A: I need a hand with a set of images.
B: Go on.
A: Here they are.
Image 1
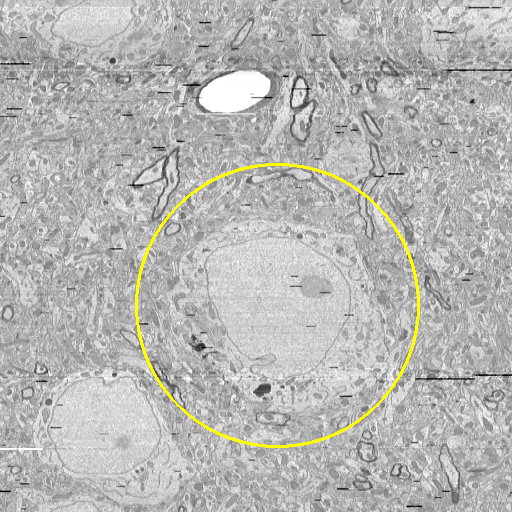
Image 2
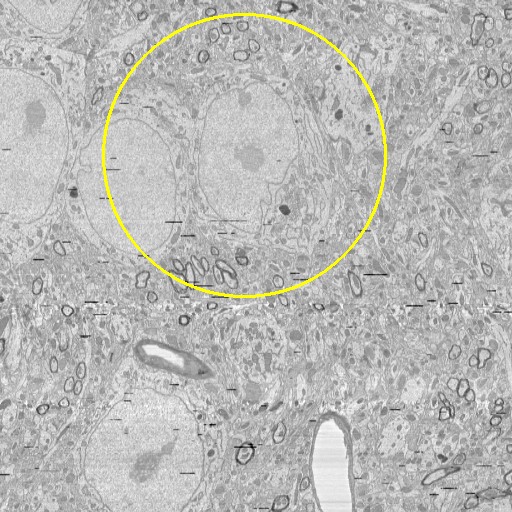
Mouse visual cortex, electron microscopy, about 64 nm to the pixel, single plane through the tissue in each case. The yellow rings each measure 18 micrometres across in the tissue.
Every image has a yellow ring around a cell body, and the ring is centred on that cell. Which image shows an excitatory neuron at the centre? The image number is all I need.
1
